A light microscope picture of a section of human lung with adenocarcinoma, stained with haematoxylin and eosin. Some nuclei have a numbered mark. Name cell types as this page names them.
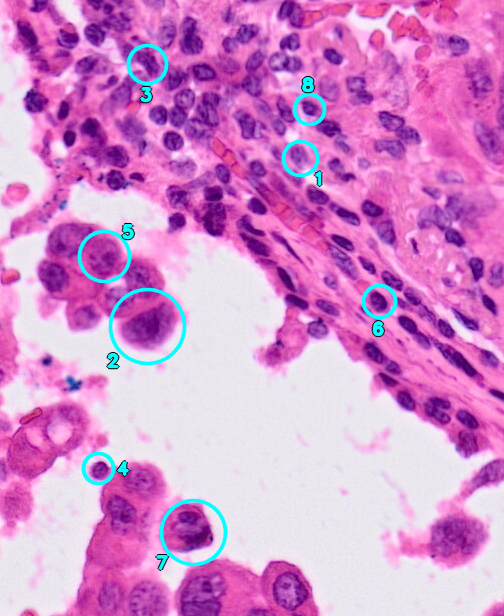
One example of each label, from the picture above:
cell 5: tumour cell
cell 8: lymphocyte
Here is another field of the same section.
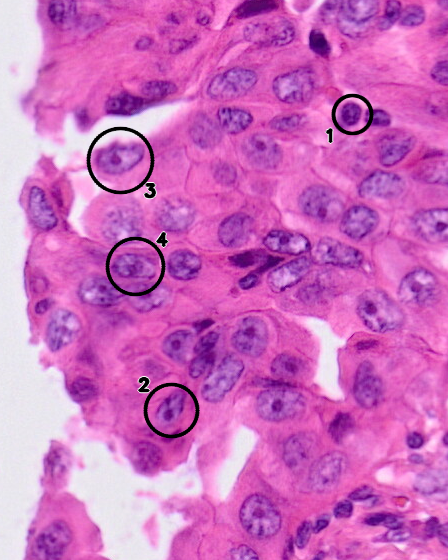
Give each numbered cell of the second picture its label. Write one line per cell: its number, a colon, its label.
1: lymphocyte
2: tumour cell
3: tumour cell
4: tumour cell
